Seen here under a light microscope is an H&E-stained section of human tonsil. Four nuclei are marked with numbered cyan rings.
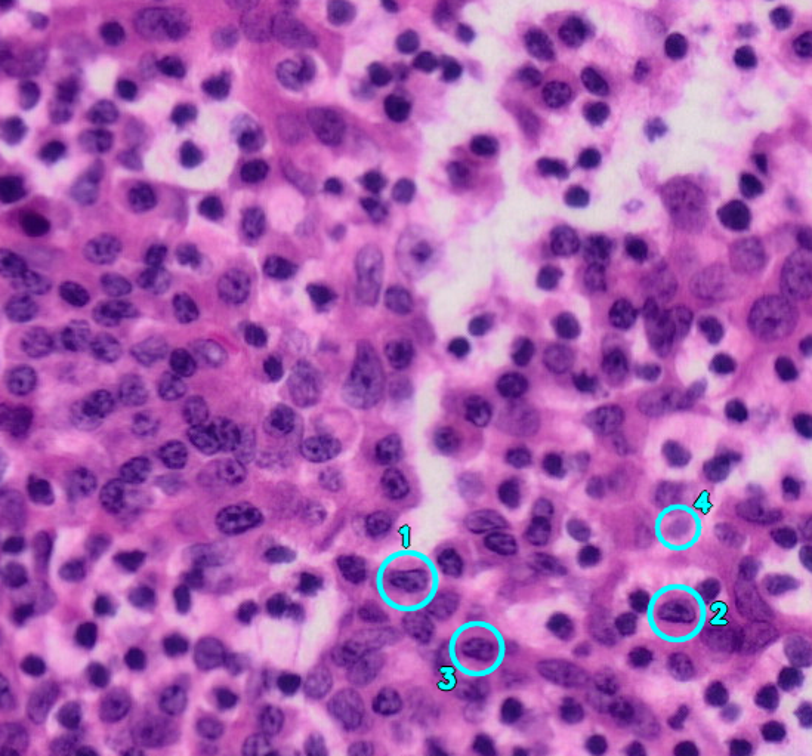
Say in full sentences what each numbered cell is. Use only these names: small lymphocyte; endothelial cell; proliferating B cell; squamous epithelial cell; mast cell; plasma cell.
Cell 1 is a plasma cell, cell 2 is a plasma cell, cell 3 is a plasma cell and cell 4 is a squamous epithelial cell.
